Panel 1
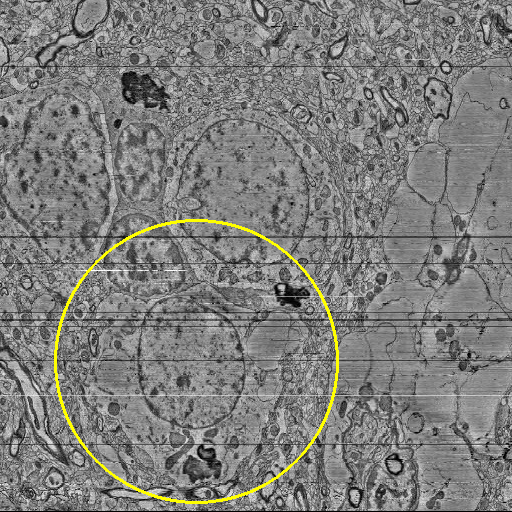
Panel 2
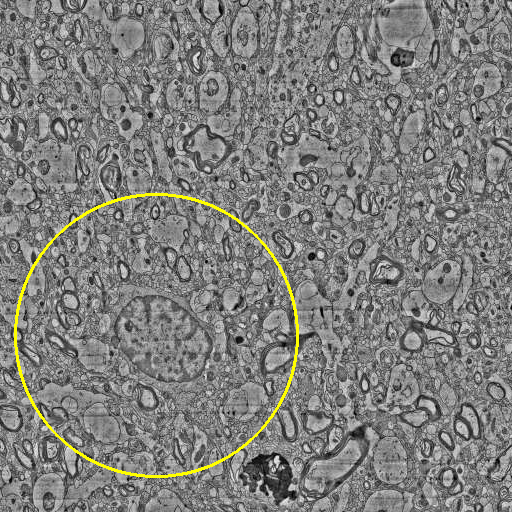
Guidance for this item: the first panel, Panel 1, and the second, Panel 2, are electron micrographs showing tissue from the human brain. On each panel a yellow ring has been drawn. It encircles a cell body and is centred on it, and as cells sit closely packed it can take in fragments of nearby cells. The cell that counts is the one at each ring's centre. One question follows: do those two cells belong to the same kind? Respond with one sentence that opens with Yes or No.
No, the cells at the ring centres in Panel 1 and Panel 2 are of two kinds.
